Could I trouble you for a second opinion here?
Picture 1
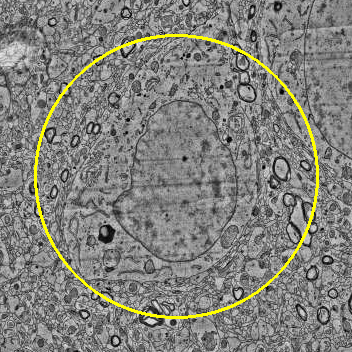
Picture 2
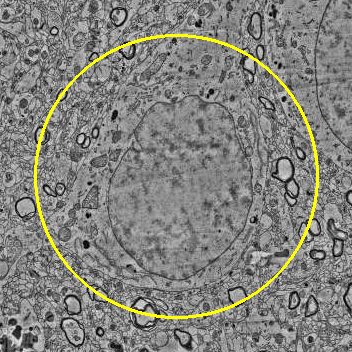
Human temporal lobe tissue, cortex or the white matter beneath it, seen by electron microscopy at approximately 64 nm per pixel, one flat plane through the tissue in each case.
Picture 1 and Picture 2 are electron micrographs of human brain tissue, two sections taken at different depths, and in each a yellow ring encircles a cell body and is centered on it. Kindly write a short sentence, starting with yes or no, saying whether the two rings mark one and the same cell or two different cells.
Yes, a single cell lies behind both yellow marks.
